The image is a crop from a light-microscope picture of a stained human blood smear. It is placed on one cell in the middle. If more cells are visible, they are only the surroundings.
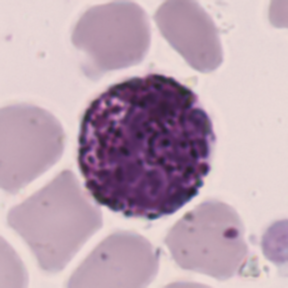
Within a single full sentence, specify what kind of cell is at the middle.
The cell around which this crop is centred is a basophil.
